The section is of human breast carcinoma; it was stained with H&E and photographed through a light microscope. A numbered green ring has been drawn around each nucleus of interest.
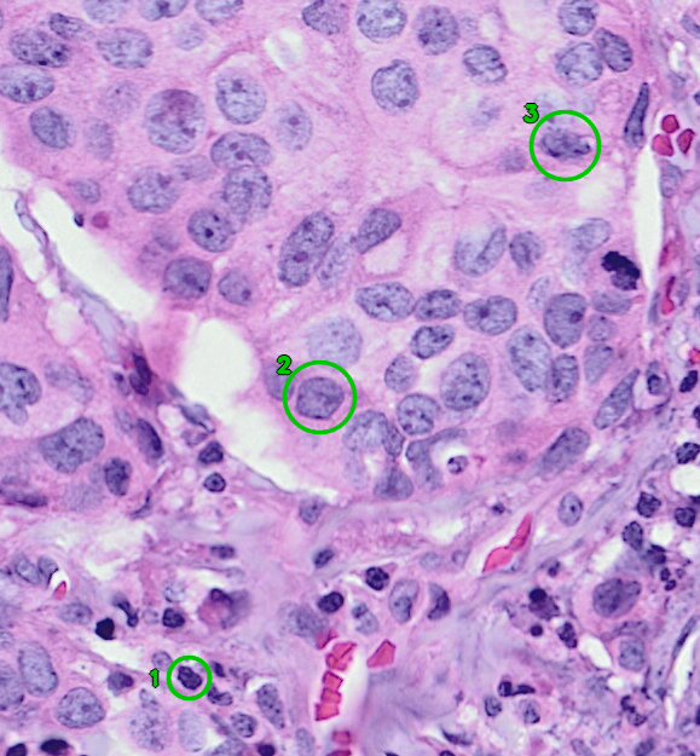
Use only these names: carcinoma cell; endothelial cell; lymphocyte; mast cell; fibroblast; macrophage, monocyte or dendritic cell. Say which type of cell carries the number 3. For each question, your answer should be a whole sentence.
The numeral 3 marks a carcinoma cell in this section.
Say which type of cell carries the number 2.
Recognised here as a carcinoma cell is the cell numbered 2.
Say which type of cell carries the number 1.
The cell numbered 1 represents a lymphocyte.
